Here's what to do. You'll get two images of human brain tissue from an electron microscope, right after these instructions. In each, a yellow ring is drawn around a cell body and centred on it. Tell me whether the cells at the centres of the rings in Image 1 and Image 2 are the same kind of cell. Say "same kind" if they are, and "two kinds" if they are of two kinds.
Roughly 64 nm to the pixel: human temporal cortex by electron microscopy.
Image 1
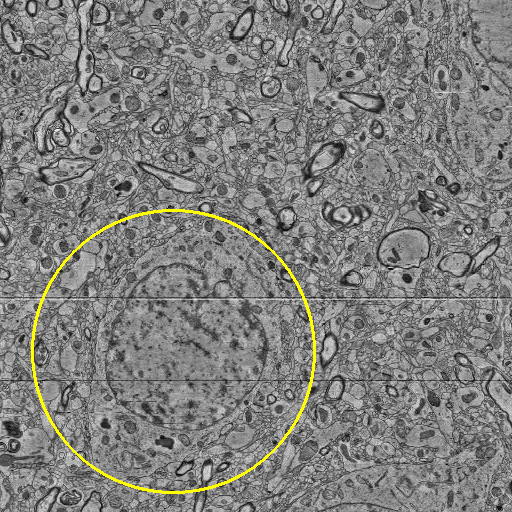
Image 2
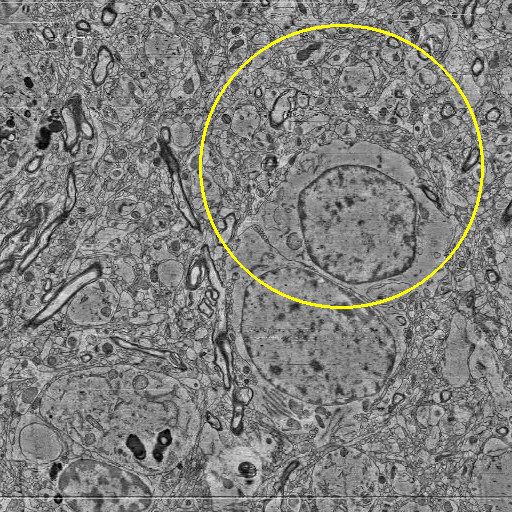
two kinds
